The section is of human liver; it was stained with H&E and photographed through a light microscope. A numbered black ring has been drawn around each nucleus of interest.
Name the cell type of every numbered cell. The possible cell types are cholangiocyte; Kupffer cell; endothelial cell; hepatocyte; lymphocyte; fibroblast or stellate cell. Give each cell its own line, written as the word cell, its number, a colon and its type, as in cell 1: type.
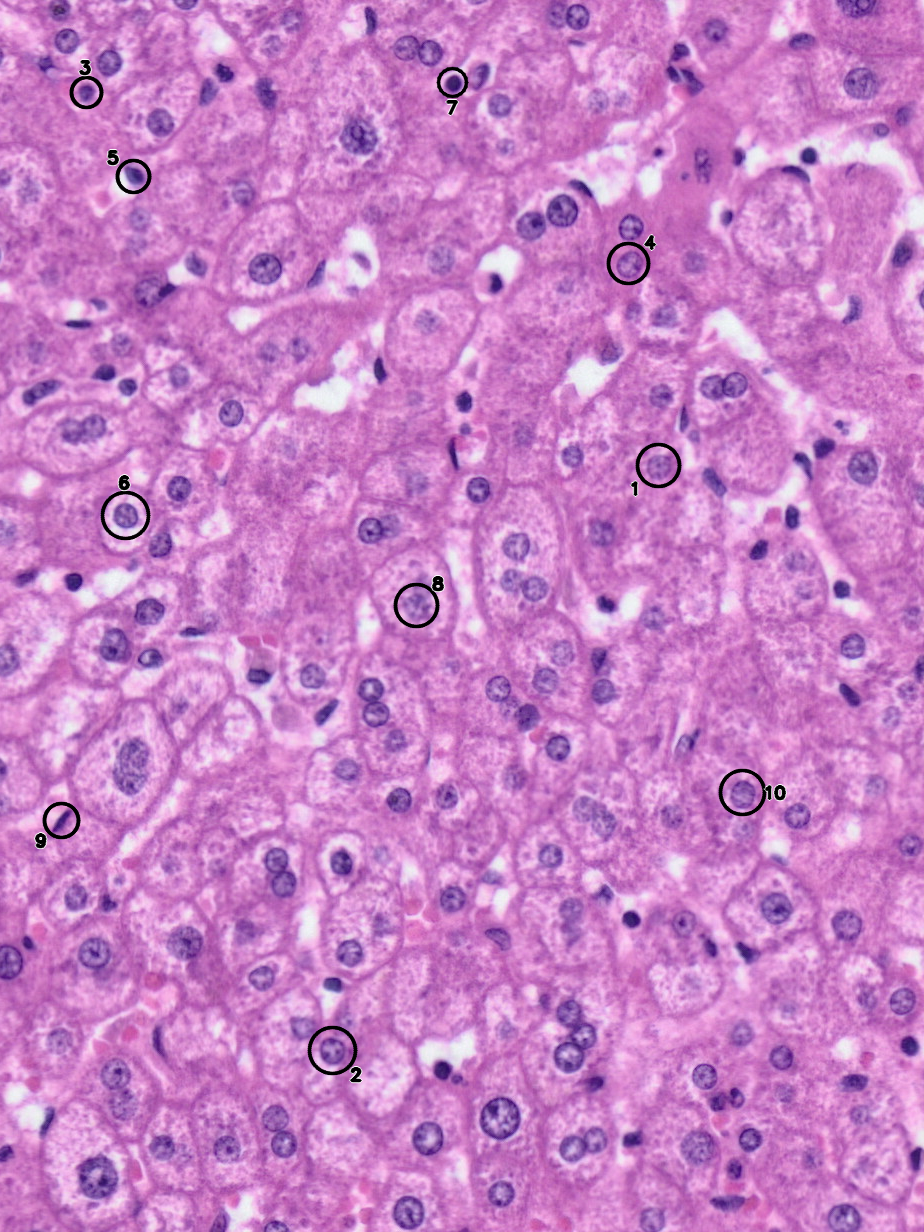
cell 1: hepatocyte
cell 2: hepatocyte
cell 3: lymphocyte
cell 4: hepatocyte
cell 5: fibroblast or stellate cell
cell 6: hepatocyte
cell 7: lymphocyte
cell 8: hepatocyte
cell 9: endothelial cell
cell 10: hepatocyte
